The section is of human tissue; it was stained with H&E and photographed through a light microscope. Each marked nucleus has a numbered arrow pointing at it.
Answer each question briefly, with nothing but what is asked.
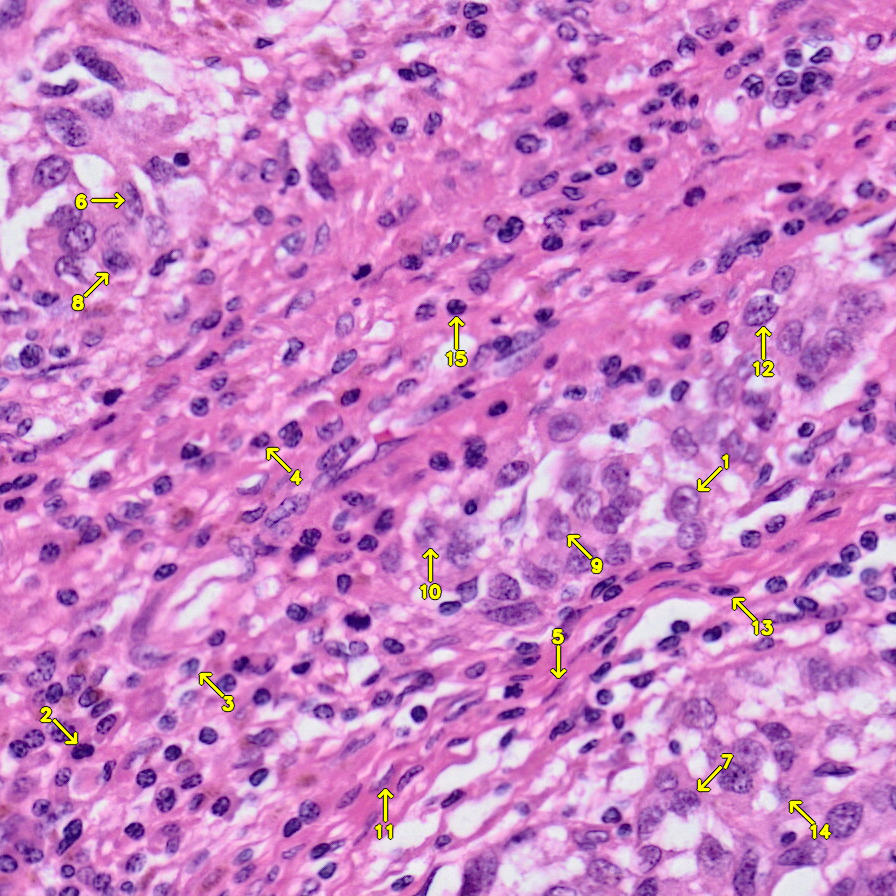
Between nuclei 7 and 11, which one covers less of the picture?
11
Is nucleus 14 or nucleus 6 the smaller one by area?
14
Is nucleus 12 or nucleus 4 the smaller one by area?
4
